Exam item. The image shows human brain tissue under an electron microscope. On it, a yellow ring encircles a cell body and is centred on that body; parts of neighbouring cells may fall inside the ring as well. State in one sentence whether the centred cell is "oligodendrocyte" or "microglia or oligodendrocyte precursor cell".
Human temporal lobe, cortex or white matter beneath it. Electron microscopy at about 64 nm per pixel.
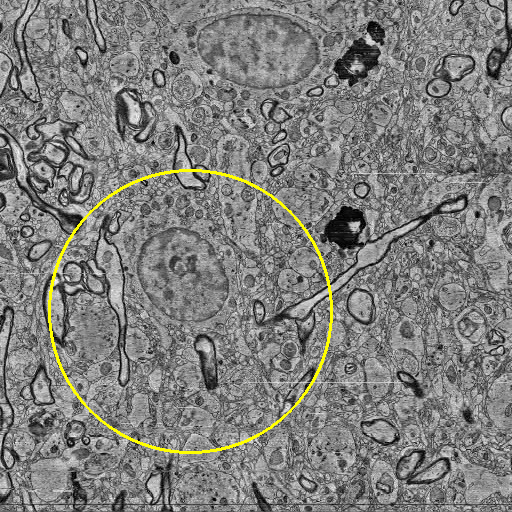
The cell body centred in the ring is an oligodendrocyte.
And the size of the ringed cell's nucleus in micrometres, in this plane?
The nucleus works out at approximately 6 by 5 micrometres in this plane.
